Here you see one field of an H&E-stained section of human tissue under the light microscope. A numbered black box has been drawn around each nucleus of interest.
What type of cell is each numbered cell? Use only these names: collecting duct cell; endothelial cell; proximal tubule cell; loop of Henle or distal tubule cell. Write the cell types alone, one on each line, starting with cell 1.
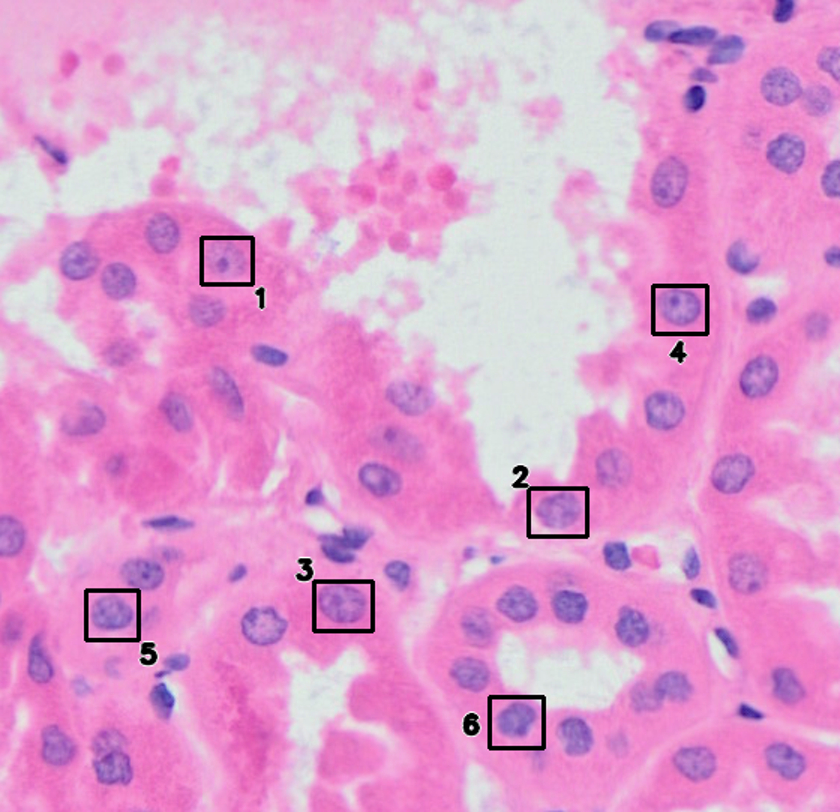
proximal tubule cell
proximal tubule cell
proximal tubule cell
proximal tubule cell
collecting duct cell
loop of Henle or distal tubule cell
